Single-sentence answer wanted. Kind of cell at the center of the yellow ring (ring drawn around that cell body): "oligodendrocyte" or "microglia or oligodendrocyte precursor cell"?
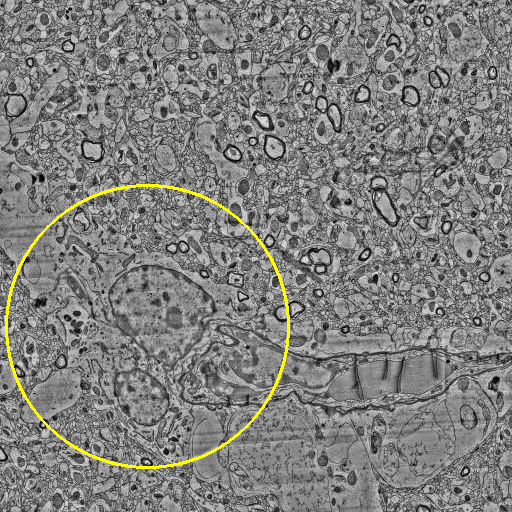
The cell centered in the ring is a microglial cell or oligodendrocyte precursor cell.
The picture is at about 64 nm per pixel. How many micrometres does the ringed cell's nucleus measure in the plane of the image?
The nucleus measures about 7 micrometers across in this plane.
